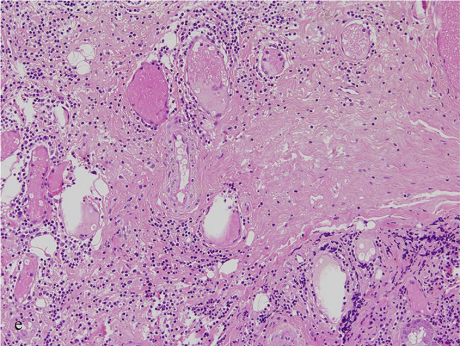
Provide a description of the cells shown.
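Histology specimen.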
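A section of fibroinflammatory tissue in pink and purple staining. Pale pink fibrous stroma with scattered elongated nuclei forms a band across the middle of the field. Along the edges, especially at the lower right and left, the stroma is crowded with many small round cells that have dark purple nuclei, an inflammatory infiltrate of lymphocytes. Scattered through the tissue are round to oval spaces, some lined by thin walls, that hold dense homogeneous pink material or stand partly empty. No granulomas are seen. Overall the architecture is disorganised, with collagenous stroma mixed with inflammatory cells.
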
